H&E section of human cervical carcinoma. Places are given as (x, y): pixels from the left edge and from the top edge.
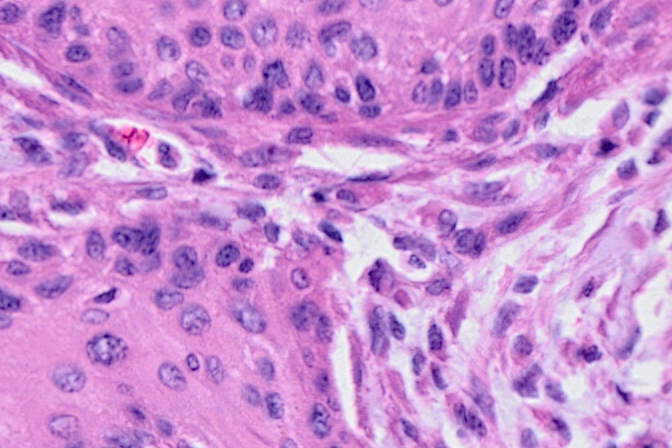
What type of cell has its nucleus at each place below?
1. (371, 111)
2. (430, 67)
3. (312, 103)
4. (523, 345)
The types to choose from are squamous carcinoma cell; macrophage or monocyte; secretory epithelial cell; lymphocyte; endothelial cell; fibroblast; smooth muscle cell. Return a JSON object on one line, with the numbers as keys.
{"1": "squamous carcinoma cell", "2": "squamous carcinoma cell", "3": "squamous carcinoma cell", "4": "macrophage or monocyte"}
